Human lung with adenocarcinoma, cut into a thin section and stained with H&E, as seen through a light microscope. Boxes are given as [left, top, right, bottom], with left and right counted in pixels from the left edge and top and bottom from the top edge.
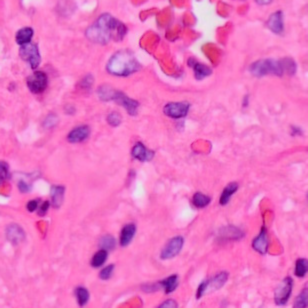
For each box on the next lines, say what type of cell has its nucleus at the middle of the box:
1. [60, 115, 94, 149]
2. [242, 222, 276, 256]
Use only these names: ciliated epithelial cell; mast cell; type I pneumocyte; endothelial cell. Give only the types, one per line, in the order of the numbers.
mast cell
endothelial cell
